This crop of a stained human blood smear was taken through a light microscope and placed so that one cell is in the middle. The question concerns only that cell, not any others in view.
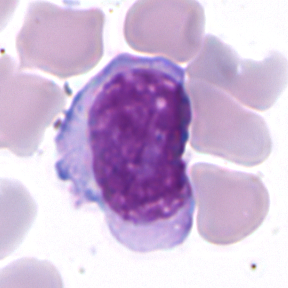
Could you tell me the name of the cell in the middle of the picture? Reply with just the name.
plasma cell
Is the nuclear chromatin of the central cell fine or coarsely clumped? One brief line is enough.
Here the nuclear chromatin is coarsely clumped.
